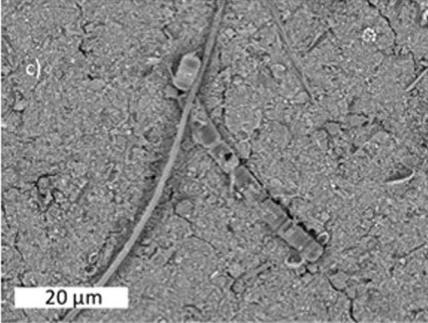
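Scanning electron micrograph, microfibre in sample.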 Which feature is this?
Diatom chain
